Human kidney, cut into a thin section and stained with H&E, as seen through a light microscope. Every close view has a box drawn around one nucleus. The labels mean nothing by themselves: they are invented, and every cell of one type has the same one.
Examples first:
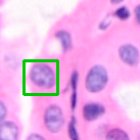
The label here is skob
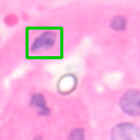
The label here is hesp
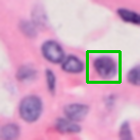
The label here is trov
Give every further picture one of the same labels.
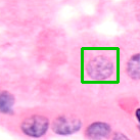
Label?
hesp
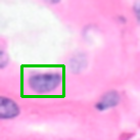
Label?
skob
